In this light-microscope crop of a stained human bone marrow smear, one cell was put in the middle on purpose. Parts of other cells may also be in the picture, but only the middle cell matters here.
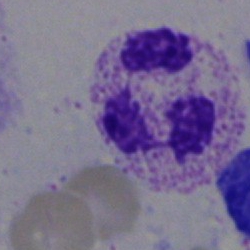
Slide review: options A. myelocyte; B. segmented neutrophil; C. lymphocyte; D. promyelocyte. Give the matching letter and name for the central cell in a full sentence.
Option B is right, the centrally situated cell being a segmented neutrophil.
